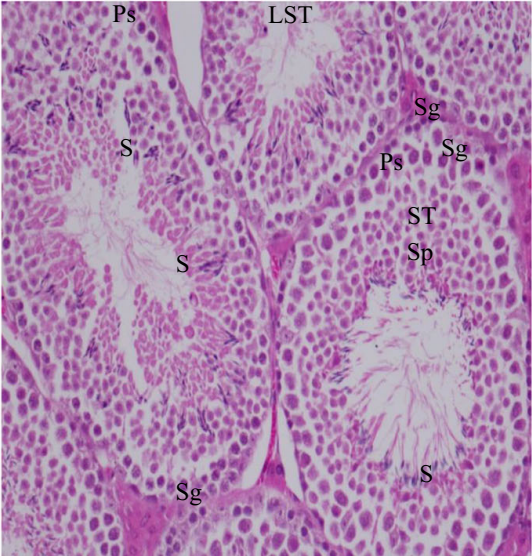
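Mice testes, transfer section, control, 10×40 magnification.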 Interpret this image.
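Here seminiferous tubules of the testis are cut across, their walls built of many layers of germ cells at different stages of spermatogenesis. Along the outer edge lie small cells with dark nuclei, inside them larger round cells with granular nuclei, and nearer the lumen many small round cells and dark elongated sperm heads. The central lumen holds a pale tuft of sperm tails. Narrow pink interstitial tissue separates neighbouring tubules.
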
